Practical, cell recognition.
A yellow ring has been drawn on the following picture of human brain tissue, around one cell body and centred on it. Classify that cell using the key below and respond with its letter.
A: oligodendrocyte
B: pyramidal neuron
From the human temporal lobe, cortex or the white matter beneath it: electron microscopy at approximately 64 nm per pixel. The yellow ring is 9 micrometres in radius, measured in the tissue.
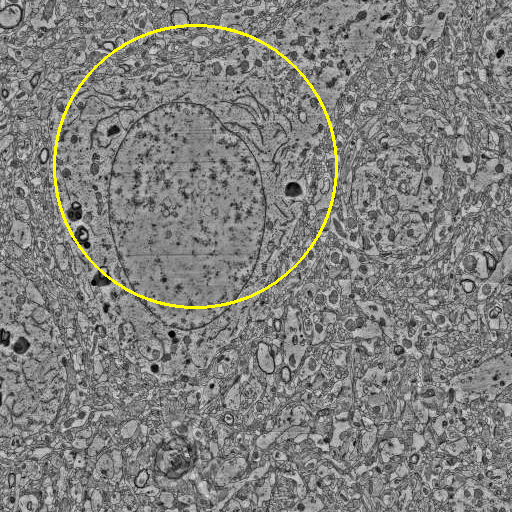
B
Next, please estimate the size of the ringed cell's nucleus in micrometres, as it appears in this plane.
Roughly 15 by 10 micrometres is the size of the nucleus in this plane.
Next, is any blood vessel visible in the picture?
No, a blood vessel is absent from this picture.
